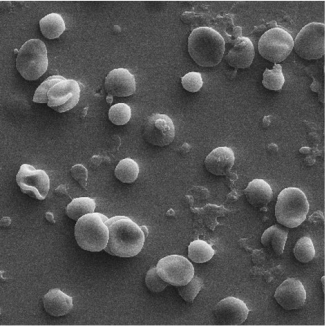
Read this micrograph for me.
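Blood cells lie on a flat, finely granular surface seen by scanning electron microscopy. The largest and most numerous are smooth rounded cells; some are flattened discs with a central depression, some are cup-shaped or folded, and many are nearly spherical, a few being clearly smaller than the others. Some lie singly, others touch or overlap in small groups. Between them are scattered much smaller, irregular bodies, the adherent platelets, a few of which show short projections reaching onto the surface, while others stay compact and rounded.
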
